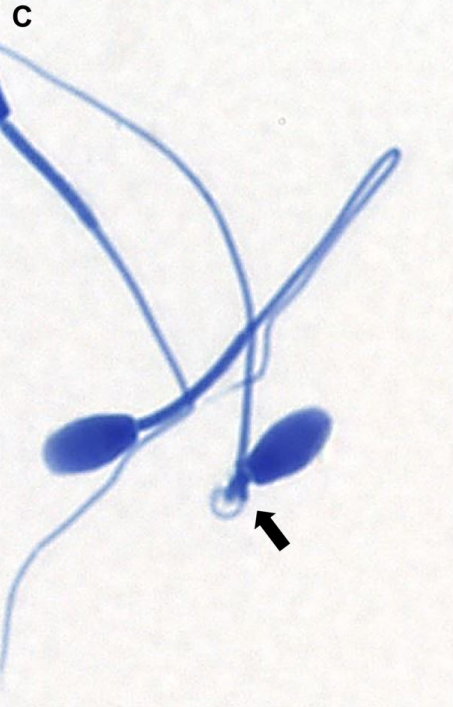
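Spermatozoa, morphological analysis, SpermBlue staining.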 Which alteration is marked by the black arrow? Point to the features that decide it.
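The arrow points to the region just behind a sperm head. There the midpiece turns sharply back and forms a small loop beside the head.
Answer: bent midpiece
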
